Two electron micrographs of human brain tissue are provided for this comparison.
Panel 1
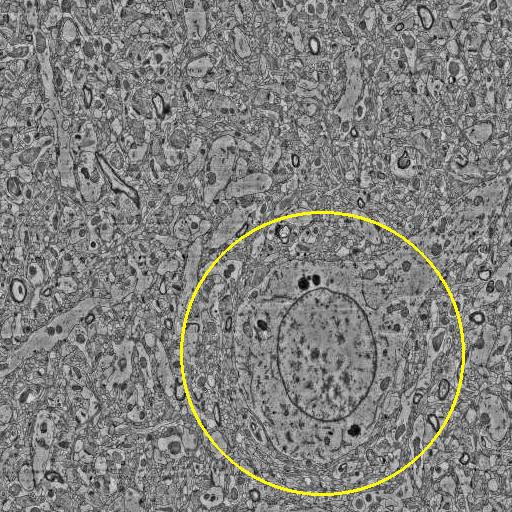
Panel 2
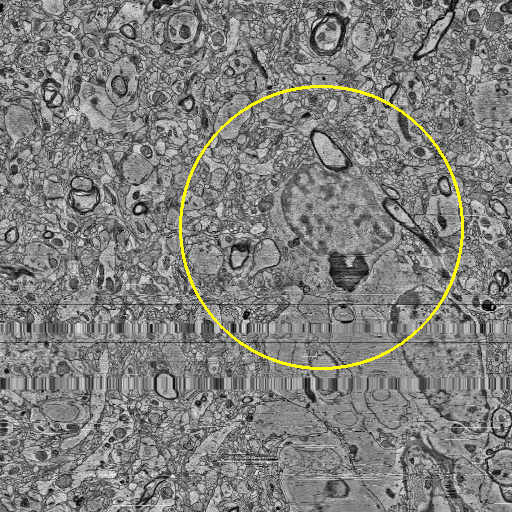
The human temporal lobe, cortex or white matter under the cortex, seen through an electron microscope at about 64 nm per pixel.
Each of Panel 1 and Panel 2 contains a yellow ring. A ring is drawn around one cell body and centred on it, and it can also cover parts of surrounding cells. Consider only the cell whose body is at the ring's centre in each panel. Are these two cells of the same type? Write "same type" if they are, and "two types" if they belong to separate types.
two types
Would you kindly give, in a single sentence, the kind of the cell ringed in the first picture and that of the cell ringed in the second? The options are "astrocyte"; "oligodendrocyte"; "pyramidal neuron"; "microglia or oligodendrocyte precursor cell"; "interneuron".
The second cell is an oligodendrocyte, and the first cell is a pyramidal neuron.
